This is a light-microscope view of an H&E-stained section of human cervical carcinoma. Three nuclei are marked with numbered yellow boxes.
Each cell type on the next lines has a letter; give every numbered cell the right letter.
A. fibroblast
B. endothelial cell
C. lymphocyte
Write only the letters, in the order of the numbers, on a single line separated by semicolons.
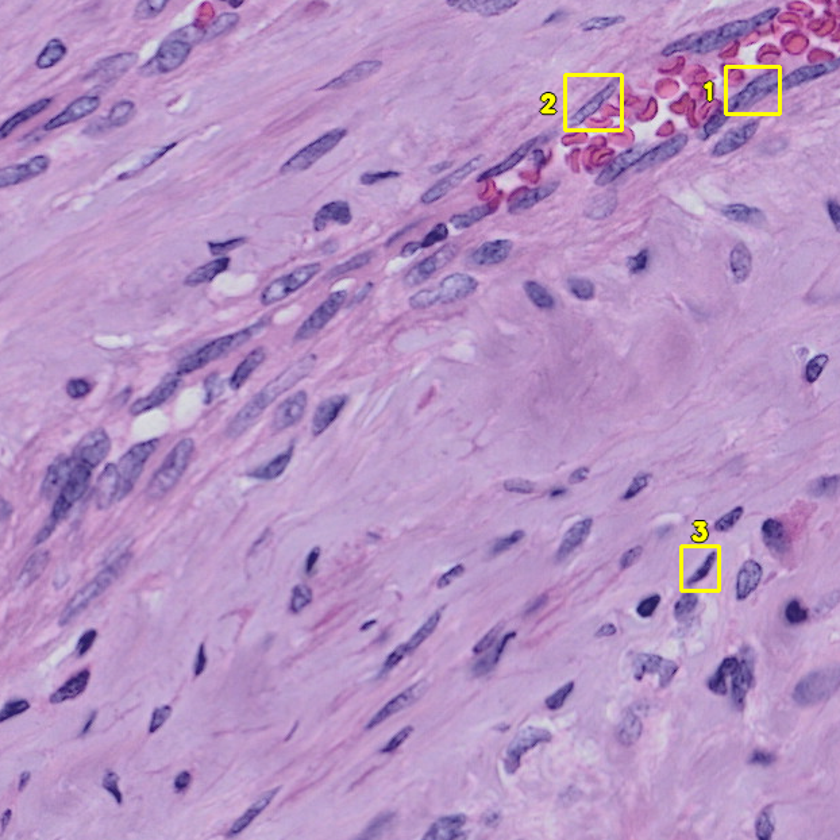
B; B; A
